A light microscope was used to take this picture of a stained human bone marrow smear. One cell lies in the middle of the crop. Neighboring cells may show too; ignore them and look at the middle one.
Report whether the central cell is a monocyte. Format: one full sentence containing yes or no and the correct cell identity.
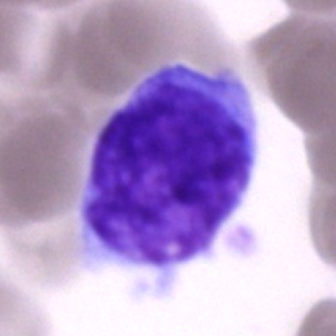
Yes, the cell right in the middle is a monocyte.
